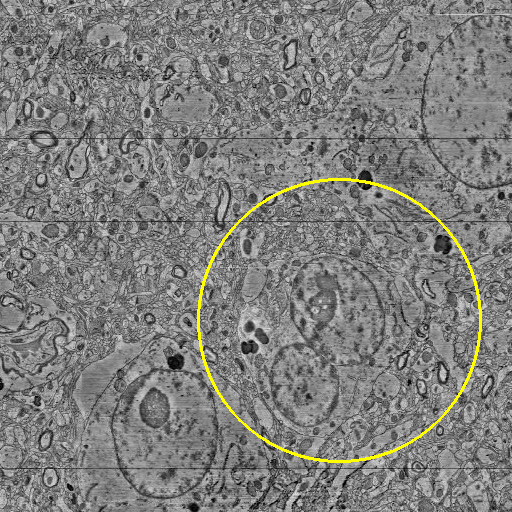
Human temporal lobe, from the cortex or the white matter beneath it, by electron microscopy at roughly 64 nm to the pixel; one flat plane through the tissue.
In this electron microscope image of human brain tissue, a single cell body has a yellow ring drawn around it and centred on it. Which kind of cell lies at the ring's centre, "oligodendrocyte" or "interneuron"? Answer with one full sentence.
It is an interneuron whose cell body lies at the centre of the yellow ring here.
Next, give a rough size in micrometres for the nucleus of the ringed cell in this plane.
Approximately 7 micrometres long and 6 micrometres wide, in this plane.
